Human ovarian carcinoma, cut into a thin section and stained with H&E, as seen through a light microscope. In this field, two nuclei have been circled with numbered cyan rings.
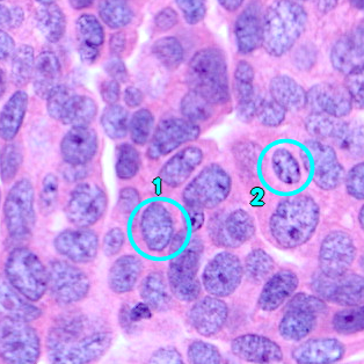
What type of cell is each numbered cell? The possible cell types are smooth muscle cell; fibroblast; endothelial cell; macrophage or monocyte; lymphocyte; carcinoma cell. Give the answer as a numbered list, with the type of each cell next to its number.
1. carcinoma cell
2. macrophage or monocyte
